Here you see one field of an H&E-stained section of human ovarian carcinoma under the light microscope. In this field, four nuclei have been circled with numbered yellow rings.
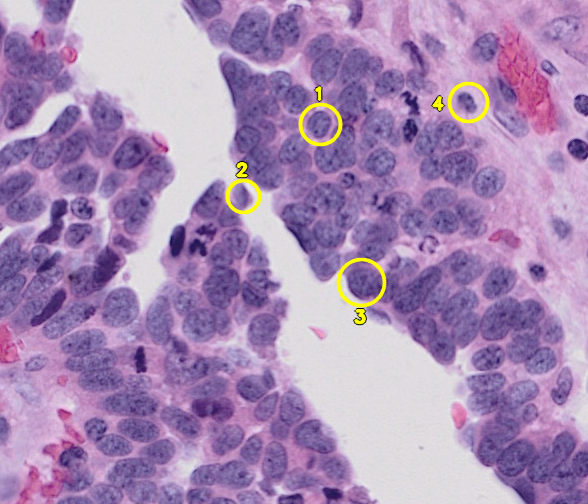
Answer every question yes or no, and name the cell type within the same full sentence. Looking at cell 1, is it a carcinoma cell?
Yes, the cell with number 1 is a carcinoma cell.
